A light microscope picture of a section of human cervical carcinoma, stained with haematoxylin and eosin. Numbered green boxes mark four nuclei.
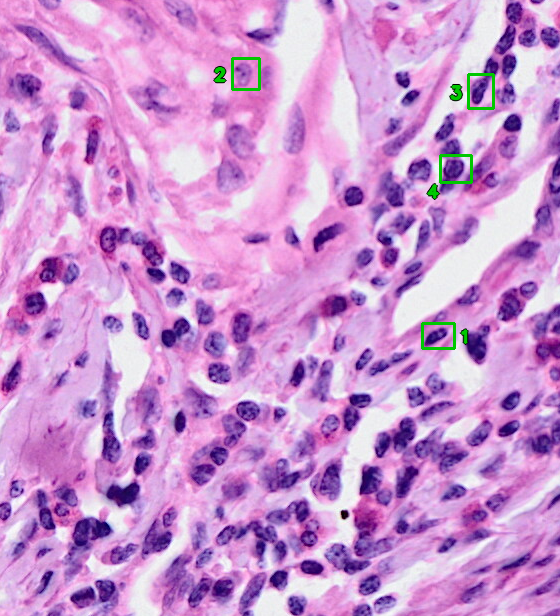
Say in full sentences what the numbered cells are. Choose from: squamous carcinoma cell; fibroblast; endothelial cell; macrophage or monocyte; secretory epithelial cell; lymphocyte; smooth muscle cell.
Cells 1, 3 and 4 are lymphocytes. Cell 2 is a squamous carcinoma cell.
